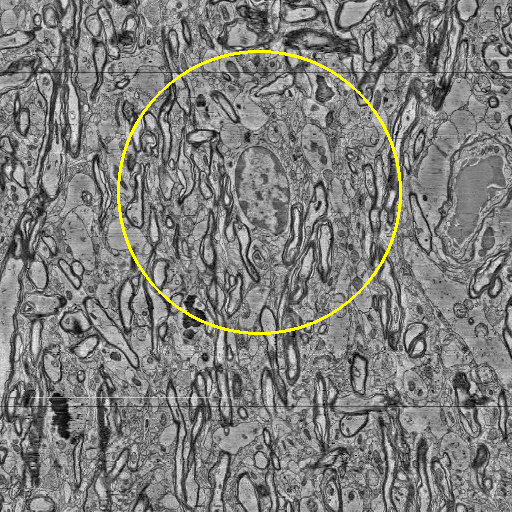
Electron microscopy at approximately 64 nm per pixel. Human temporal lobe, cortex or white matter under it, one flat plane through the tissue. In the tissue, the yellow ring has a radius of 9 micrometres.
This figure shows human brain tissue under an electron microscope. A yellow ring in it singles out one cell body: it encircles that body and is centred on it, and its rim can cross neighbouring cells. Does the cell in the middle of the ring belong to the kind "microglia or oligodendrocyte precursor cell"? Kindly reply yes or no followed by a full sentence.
Yes, the kind asked about is right for the cell centred in the figure's ring.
